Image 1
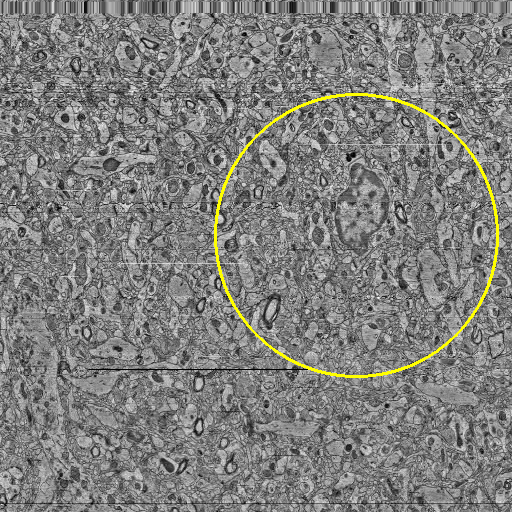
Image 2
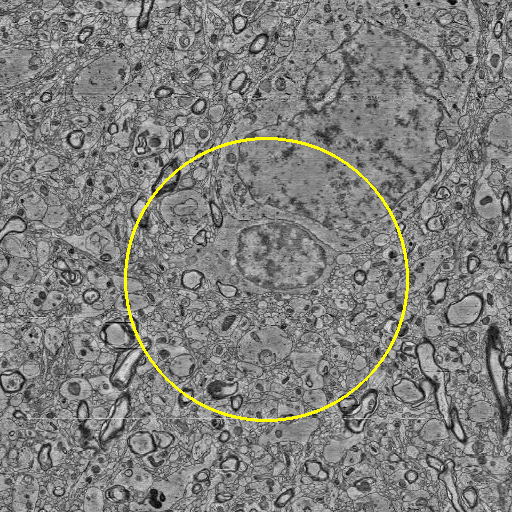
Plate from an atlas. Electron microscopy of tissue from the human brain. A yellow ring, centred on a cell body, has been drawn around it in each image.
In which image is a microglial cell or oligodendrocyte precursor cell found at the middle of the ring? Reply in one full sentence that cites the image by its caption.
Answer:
The requested cell is the one at the ring's centre in Image 1.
